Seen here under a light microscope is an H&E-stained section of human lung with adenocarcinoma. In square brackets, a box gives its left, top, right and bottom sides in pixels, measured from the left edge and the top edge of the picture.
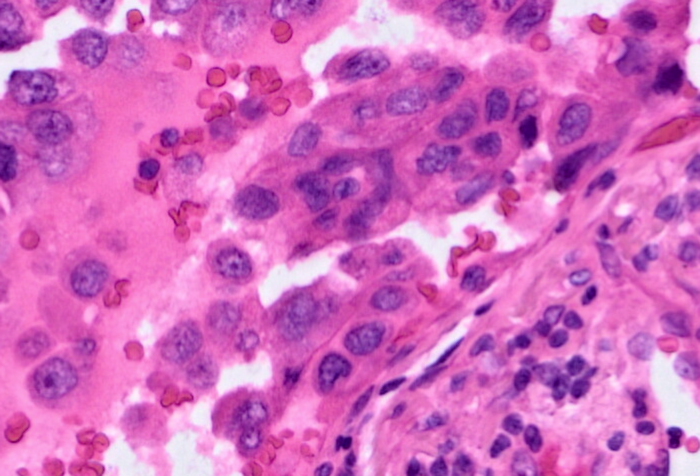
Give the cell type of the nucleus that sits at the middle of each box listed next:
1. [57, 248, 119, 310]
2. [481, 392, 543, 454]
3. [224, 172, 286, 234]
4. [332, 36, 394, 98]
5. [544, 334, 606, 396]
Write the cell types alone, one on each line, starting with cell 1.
carcinoma cell
lymphocyte
carcinoma cell
carcinoma cell
lymphocyte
